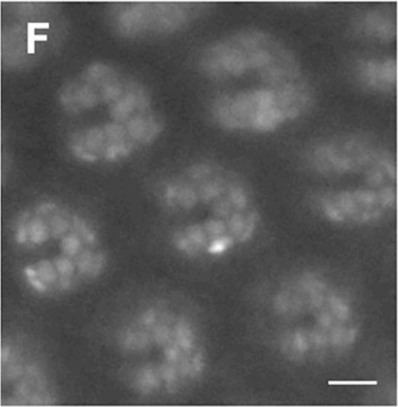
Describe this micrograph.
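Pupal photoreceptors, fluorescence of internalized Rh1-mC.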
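The fluorescence fills the bodies of the cells in each group fairly evenly, and a few brighter small spots are scattered within them. The groups are separated by darker spaces and lie in a regular array.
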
